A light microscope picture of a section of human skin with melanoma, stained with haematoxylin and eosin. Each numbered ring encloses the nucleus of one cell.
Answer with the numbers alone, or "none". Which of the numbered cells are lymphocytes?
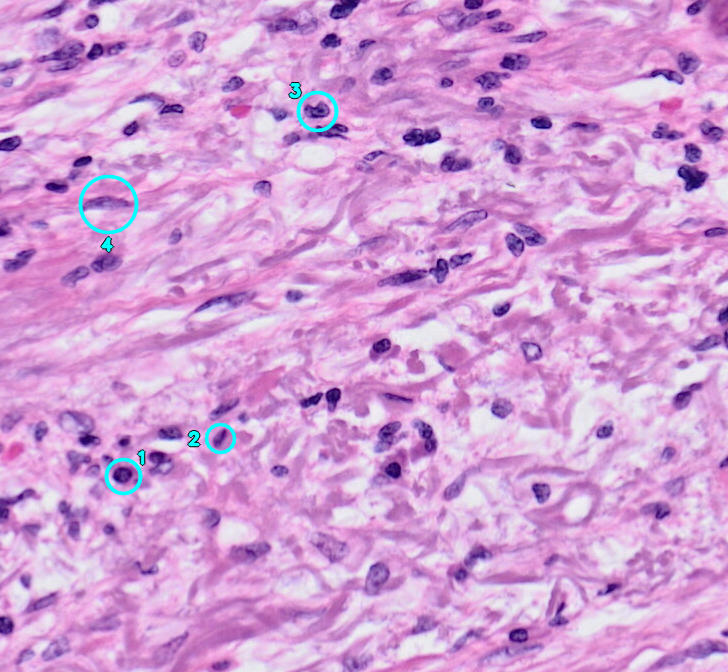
3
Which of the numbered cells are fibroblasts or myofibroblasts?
4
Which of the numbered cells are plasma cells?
1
